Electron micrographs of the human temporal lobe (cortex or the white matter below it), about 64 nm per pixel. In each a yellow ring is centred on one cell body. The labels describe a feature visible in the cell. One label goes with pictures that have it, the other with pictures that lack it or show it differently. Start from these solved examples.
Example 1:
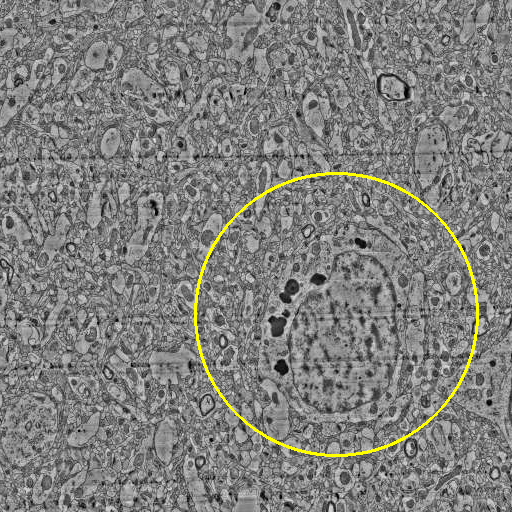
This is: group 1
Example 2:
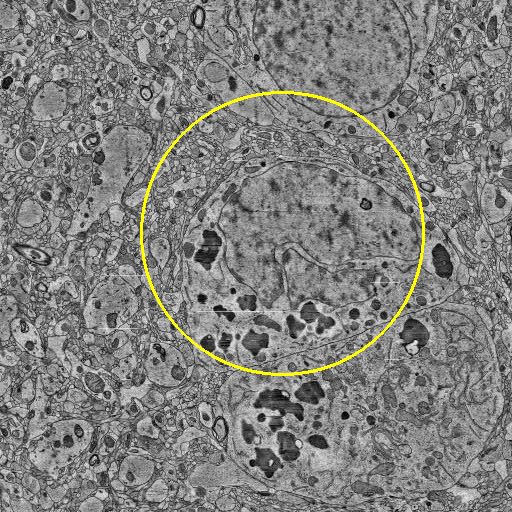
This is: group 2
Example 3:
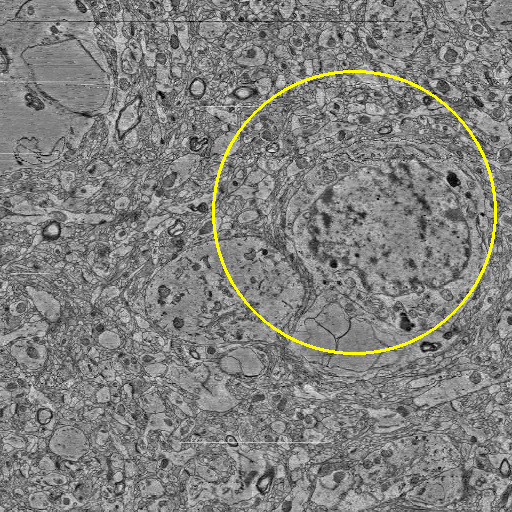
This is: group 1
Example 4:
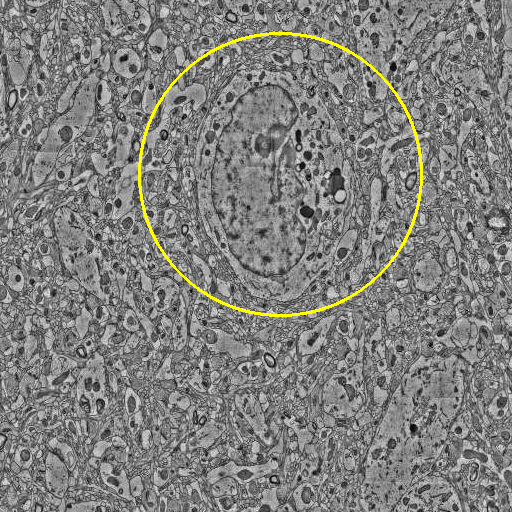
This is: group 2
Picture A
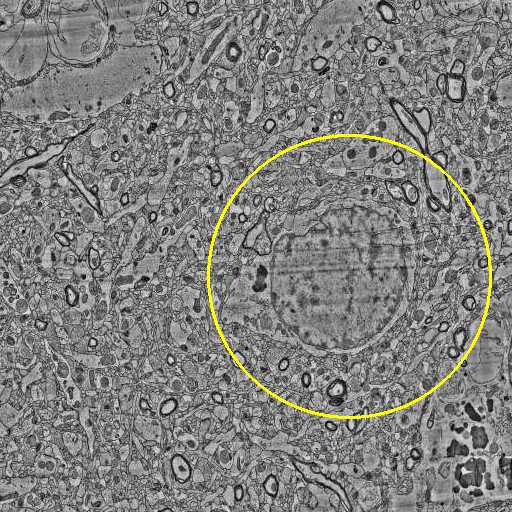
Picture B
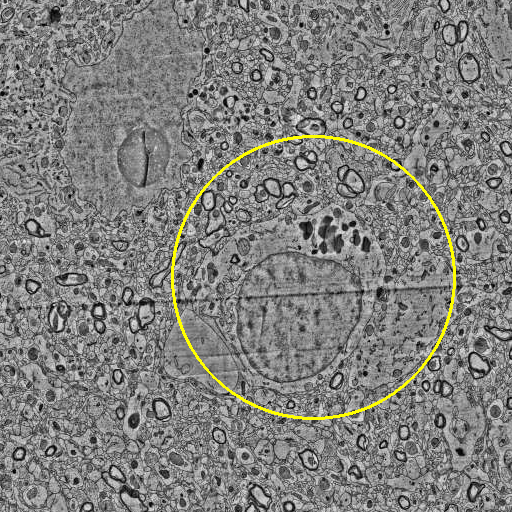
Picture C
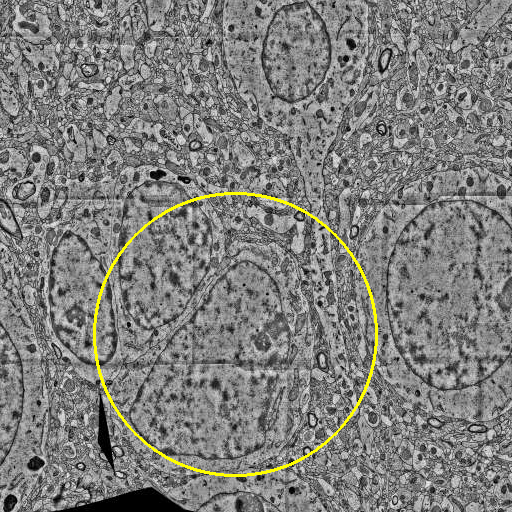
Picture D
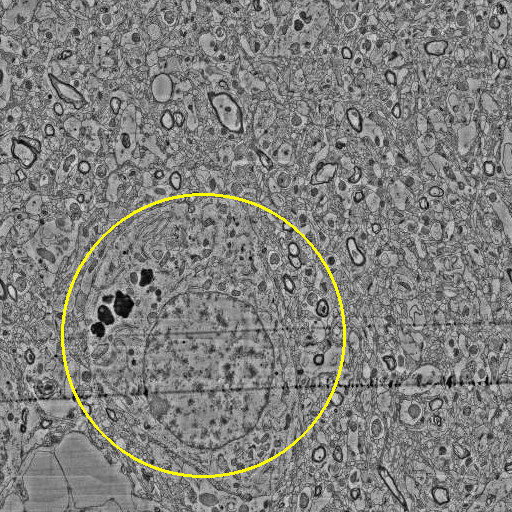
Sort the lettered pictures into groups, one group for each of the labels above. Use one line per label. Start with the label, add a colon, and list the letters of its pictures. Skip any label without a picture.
group 1: A, B, C, D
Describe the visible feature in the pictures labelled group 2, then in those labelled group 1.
group 2, deeply folded or indented nuclear envelopes; group 1, smooth nuclear envelopes without deep folds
